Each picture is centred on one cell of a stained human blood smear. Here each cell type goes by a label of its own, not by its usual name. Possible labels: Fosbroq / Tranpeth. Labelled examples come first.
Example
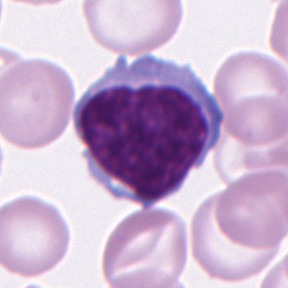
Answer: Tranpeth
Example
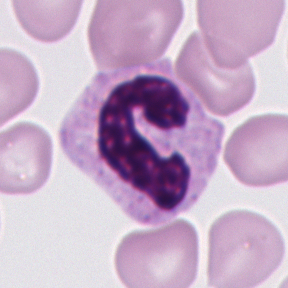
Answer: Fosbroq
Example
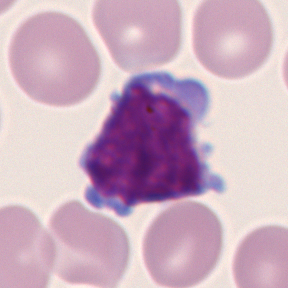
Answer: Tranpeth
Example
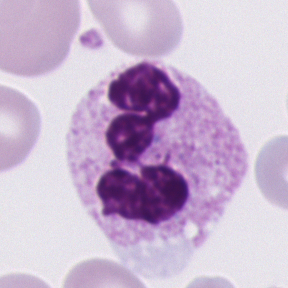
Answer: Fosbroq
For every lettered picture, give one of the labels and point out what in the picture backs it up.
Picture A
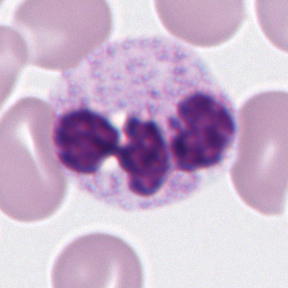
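Fosbroq. Evidence: The nucleus is divided into three separate lobes.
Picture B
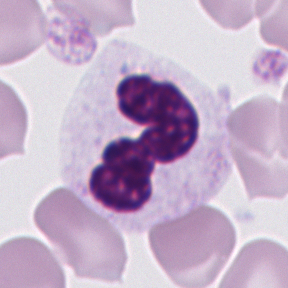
Fosbroq. Evidence: The cytoplasm is abundant and pale lilac-pink.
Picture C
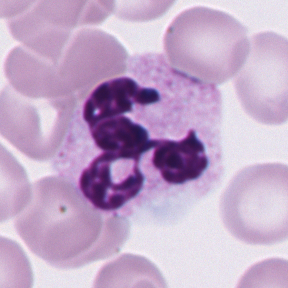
Fosbroq. Evidence: The cytoplasm is pale pink.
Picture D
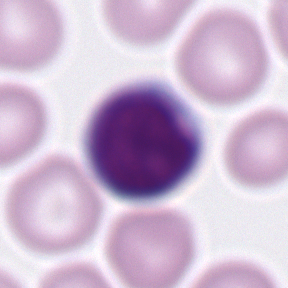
Tranpeth. Evidence: The nucleus fills almost the whole cell.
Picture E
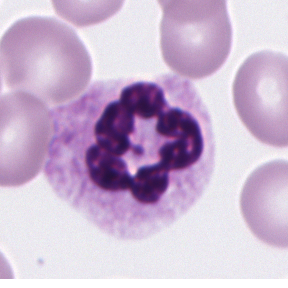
Fosbroq. Evidence: The nucleus is made of several lobes joined in a closed ring.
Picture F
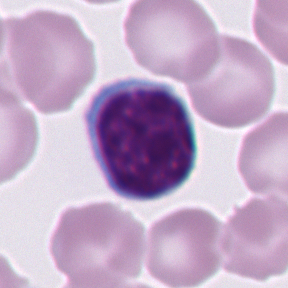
Tranpeth. Evidence: The cytoplasm forms only a thin rim around the nucleus.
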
